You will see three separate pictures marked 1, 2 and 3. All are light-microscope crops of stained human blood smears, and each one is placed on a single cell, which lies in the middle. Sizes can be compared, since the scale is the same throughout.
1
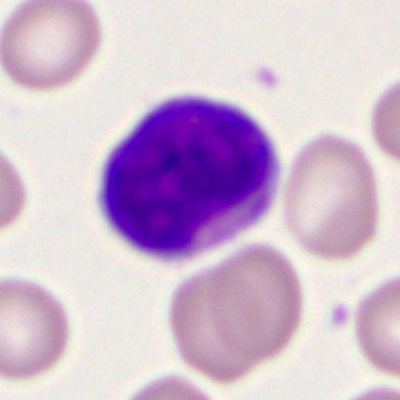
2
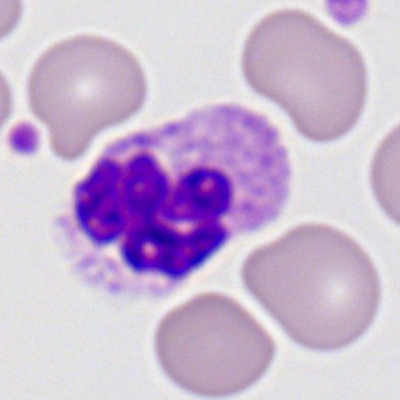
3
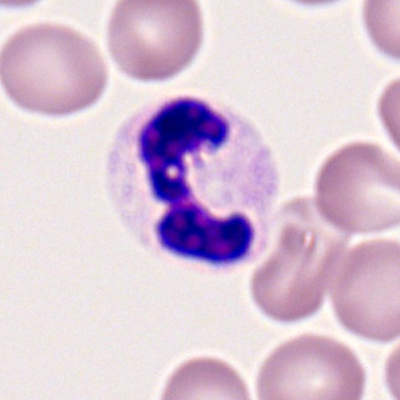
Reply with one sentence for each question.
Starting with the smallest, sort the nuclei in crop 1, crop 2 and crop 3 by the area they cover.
Going up, they run 3, 2, 1.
